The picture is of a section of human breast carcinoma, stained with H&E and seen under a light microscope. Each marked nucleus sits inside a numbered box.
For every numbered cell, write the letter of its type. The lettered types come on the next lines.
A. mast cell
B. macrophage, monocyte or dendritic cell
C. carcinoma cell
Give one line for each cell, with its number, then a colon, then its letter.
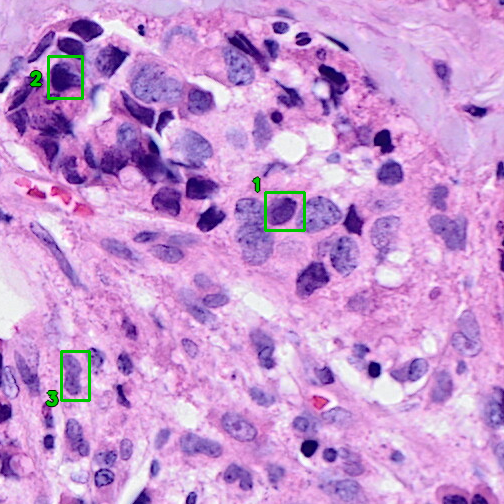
1: C
2: C
3: B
